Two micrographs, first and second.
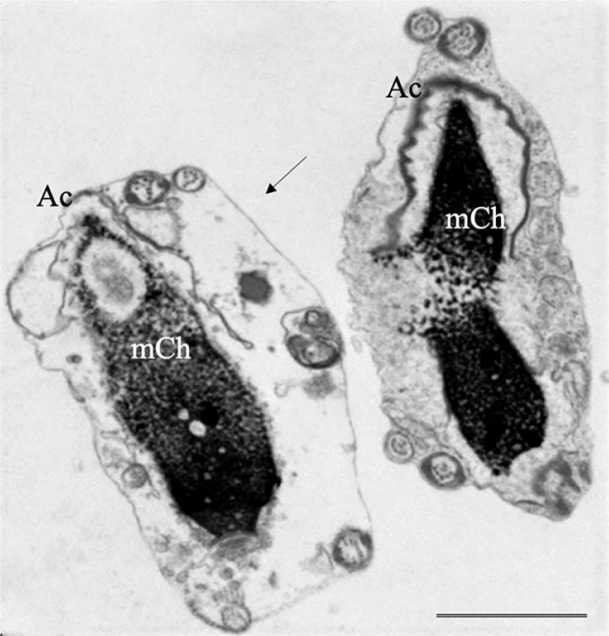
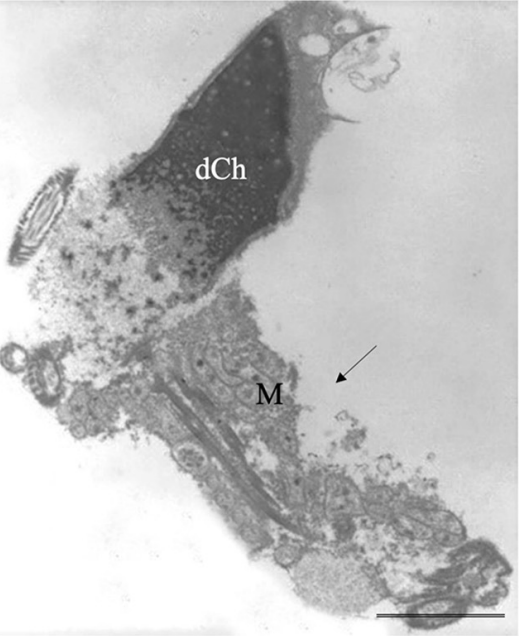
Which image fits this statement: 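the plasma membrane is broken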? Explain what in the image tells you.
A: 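First image: each cell is bounded by a continuous membrane outline. Second image: the cell boundary is missing at one side with debris spilling out.
Conclusion: the second image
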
